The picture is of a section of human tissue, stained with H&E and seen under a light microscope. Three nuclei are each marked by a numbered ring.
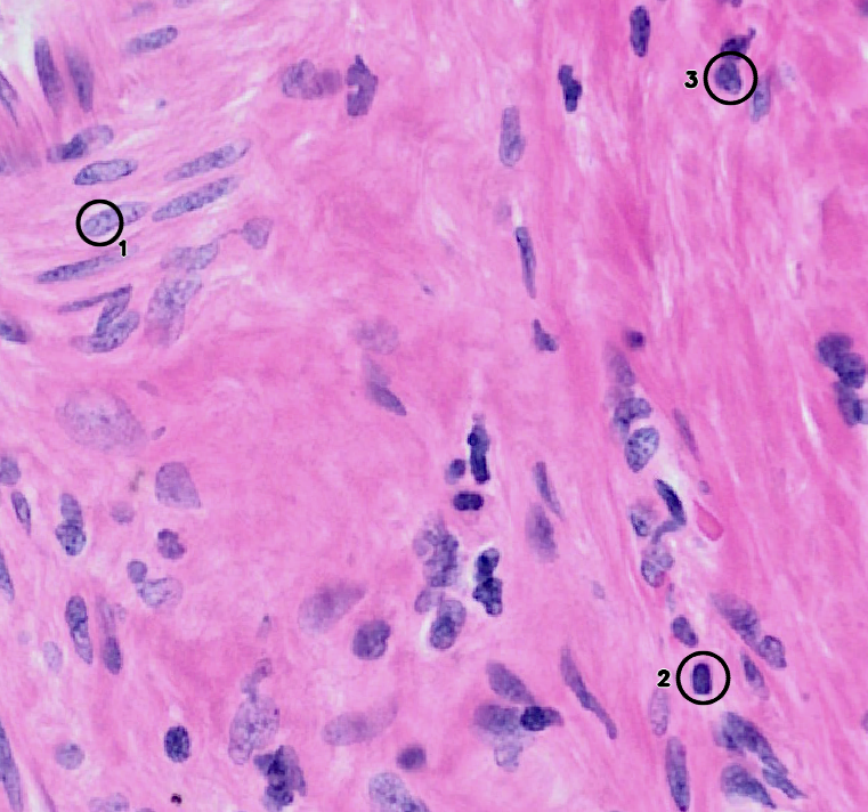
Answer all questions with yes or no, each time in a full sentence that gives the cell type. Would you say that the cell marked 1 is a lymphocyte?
No, the cell given the number 1 is an endothelial cell, so not a lymphocyte.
